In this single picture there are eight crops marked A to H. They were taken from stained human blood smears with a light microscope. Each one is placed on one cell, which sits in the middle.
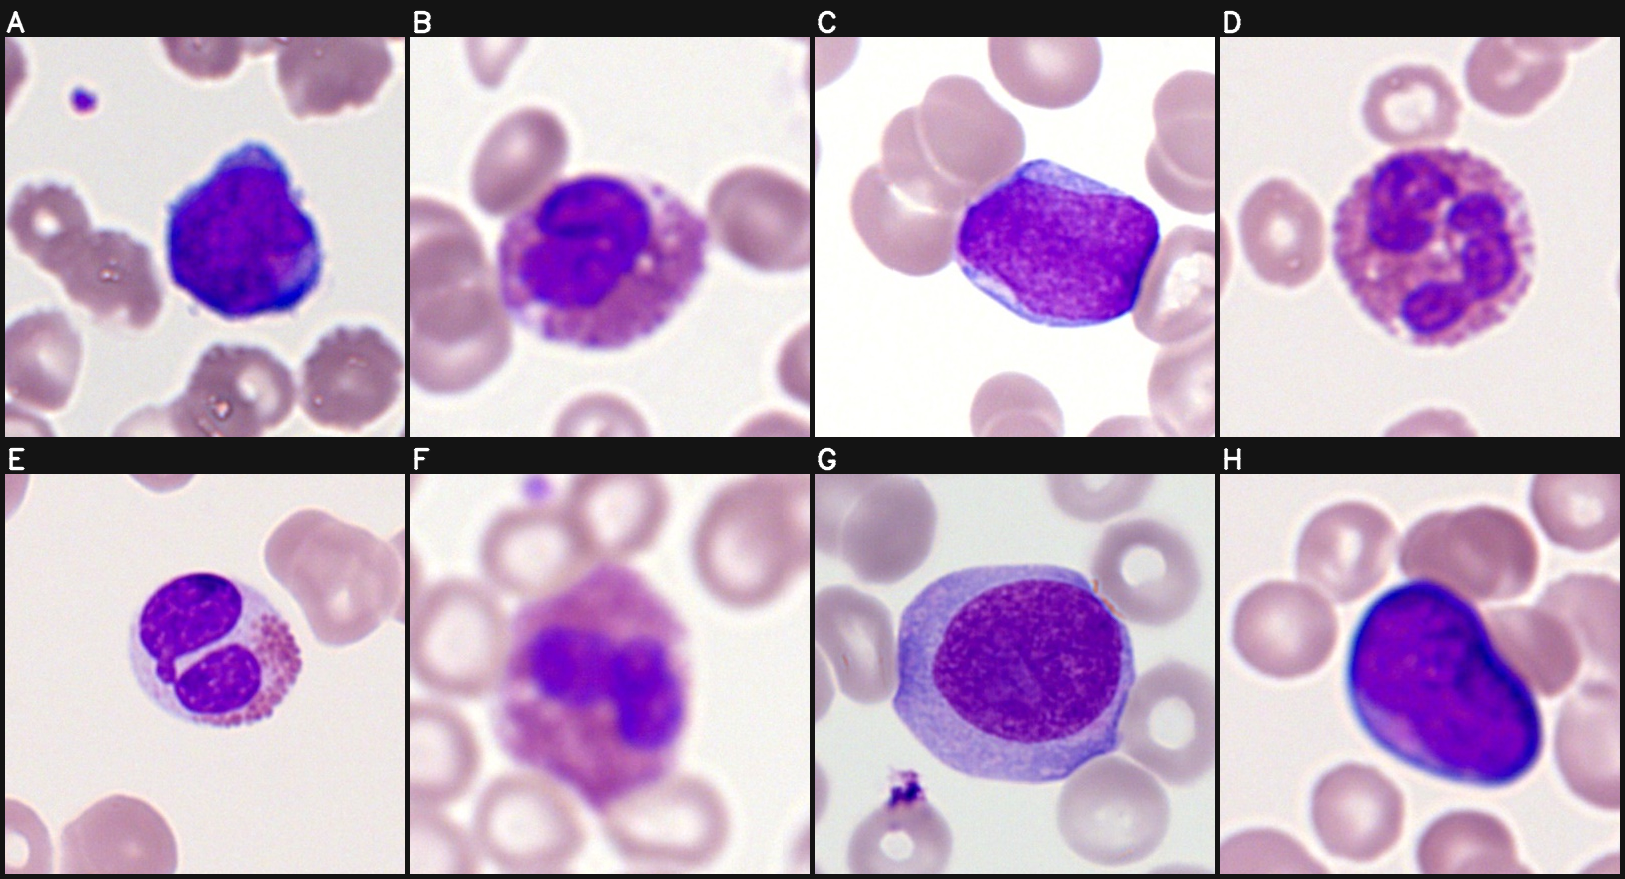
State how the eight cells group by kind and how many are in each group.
myeloblast: 4
eosinophil: 4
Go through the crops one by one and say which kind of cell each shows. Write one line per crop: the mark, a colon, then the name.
A: myeloblast
B: eosinophil
C: myeloblast
D: eosinophil
E: eosinophil
F: eosinophil
G: myeloblast
H: myeloblast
